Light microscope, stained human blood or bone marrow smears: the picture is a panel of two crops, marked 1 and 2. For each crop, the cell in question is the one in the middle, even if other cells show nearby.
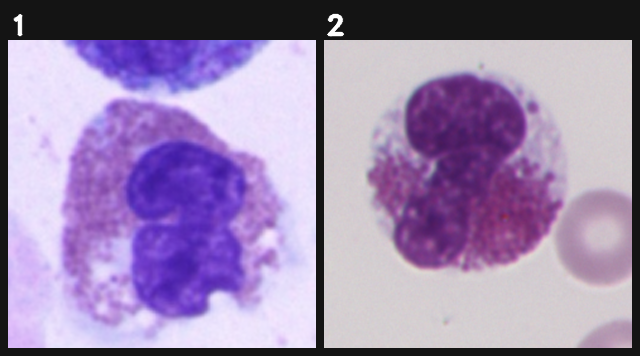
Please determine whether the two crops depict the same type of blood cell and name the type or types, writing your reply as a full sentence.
Yes, the two crops both show eosinophils.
